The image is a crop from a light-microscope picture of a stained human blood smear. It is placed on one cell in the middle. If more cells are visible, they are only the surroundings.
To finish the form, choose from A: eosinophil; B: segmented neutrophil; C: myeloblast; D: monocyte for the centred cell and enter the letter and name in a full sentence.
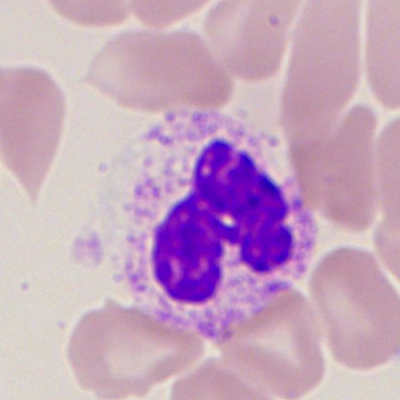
The cell placed in the middle is a segmented neutrophil; option B is correct.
